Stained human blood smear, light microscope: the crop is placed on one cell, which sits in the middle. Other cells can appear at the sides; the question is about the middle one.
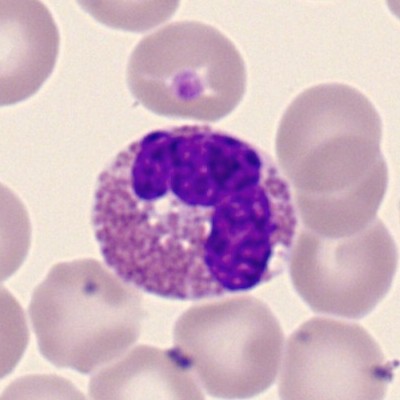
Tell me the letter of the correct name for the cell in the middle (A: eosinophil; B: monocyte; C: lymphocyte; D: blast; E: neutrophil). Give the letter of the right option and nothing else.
A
